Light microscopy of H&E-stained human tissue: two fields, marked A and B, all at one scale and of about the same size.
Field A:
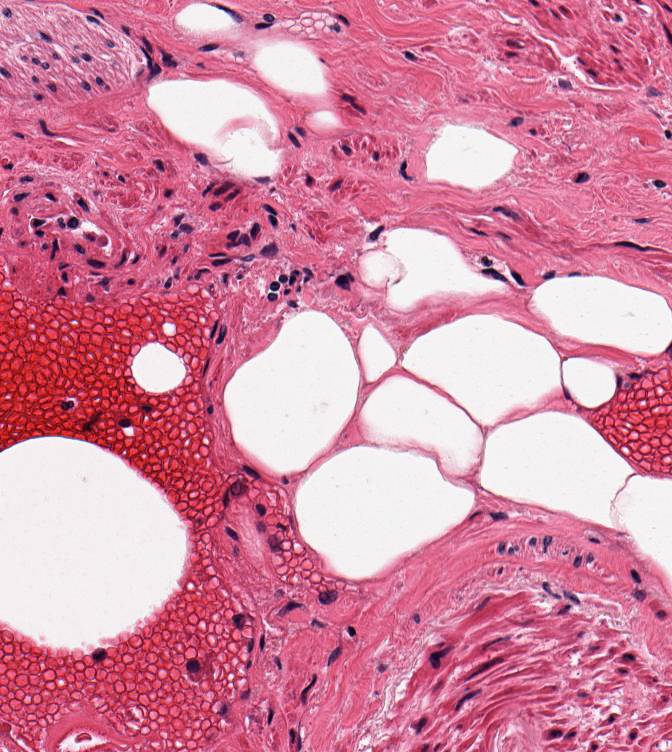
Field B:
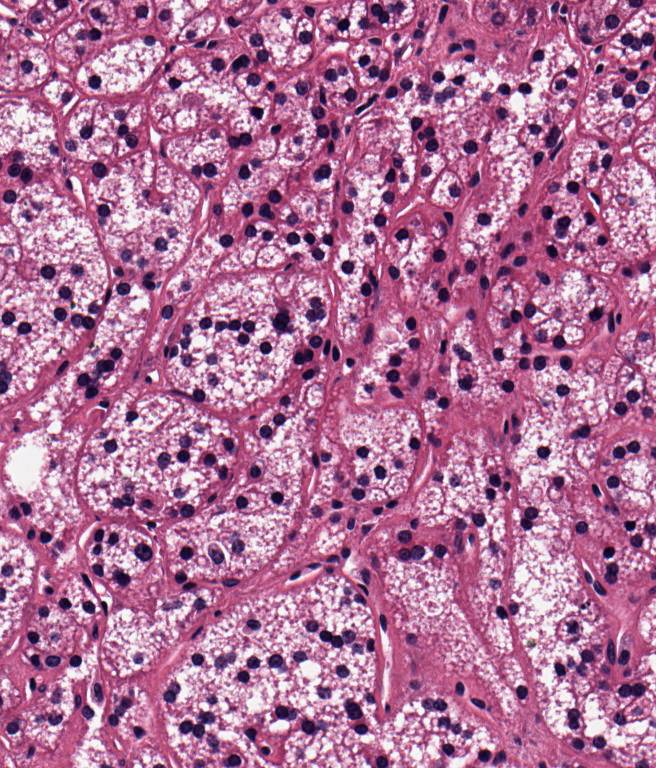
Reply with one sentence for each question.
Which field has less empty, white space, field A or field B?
Unstained space takes up less of field B than of field A.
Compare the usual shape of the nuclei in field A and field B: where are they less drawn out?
The nuclei are rounder in field B.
